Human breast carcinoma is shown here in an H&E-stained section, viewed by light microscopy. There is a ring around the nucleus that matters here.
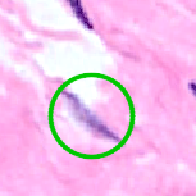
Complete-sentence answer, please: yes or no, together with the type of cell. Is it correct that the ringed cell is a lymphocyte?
No, judged by cell type, the ringed cell is a fibroblast, not a lymphocyte.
